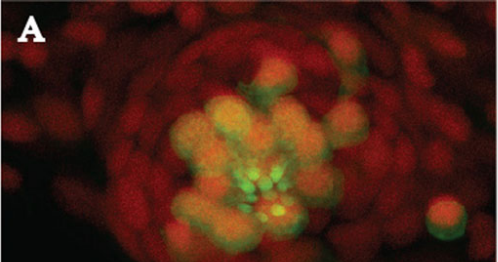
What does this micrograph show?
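This is a neuromast seen from above, with its hair cells glowing green in a rosette at the centre. The hair cells are rounded and packed side by side, and small bright green dots gather where their tops converge in the middle of the rosette. Around them lie red nuclei of the surrounding cells, with more elongated red nuclei at the edge of the organ.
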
